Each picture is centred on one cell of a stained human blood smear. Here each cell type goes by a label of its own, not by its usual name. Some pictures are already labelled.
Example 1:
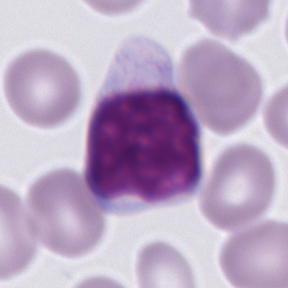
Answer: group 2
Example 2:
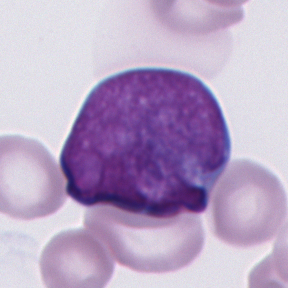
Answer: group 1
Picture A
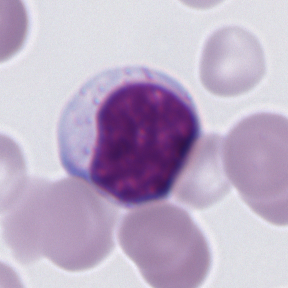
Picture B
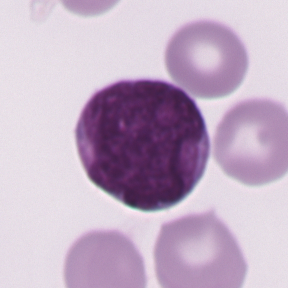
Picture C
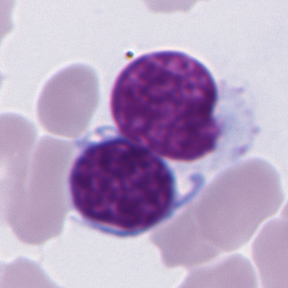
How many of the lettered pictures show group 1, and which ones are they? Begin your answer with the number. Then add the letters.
Count: 2 (B, C)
